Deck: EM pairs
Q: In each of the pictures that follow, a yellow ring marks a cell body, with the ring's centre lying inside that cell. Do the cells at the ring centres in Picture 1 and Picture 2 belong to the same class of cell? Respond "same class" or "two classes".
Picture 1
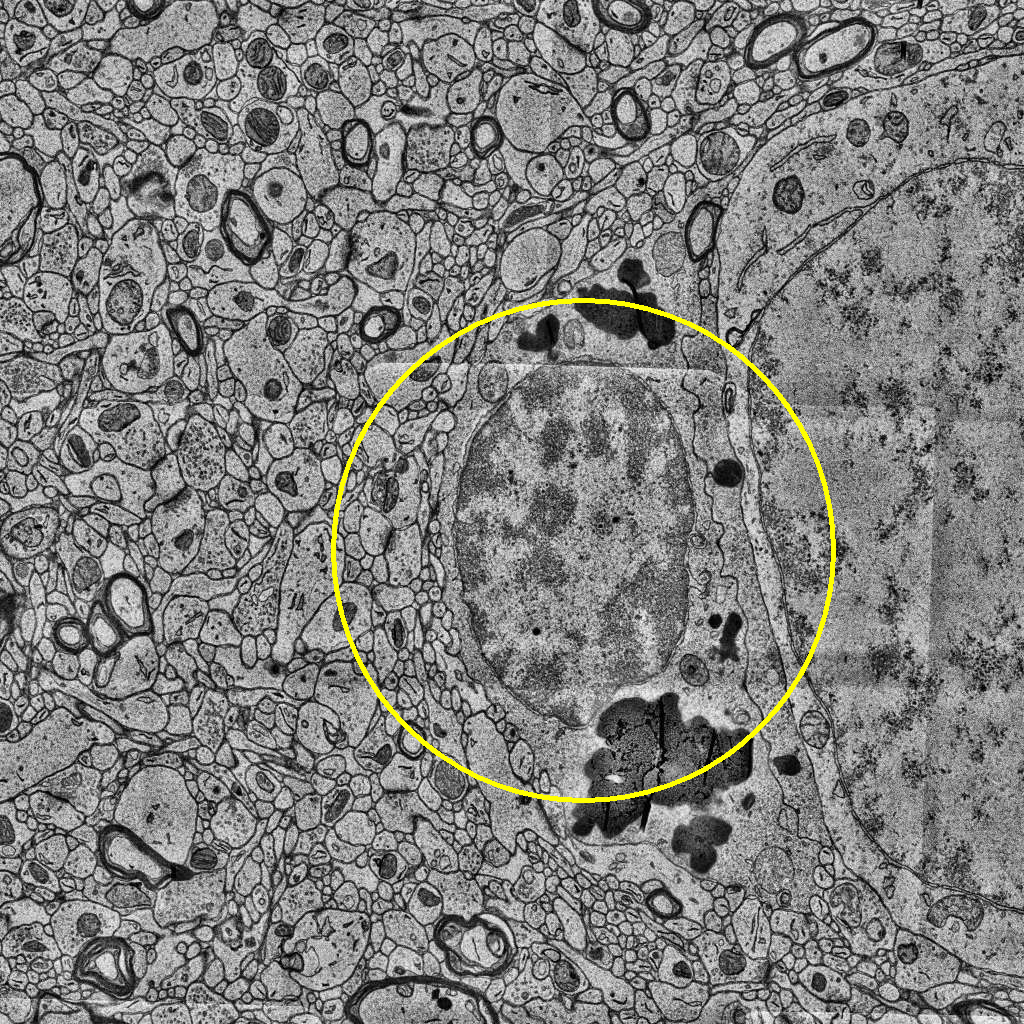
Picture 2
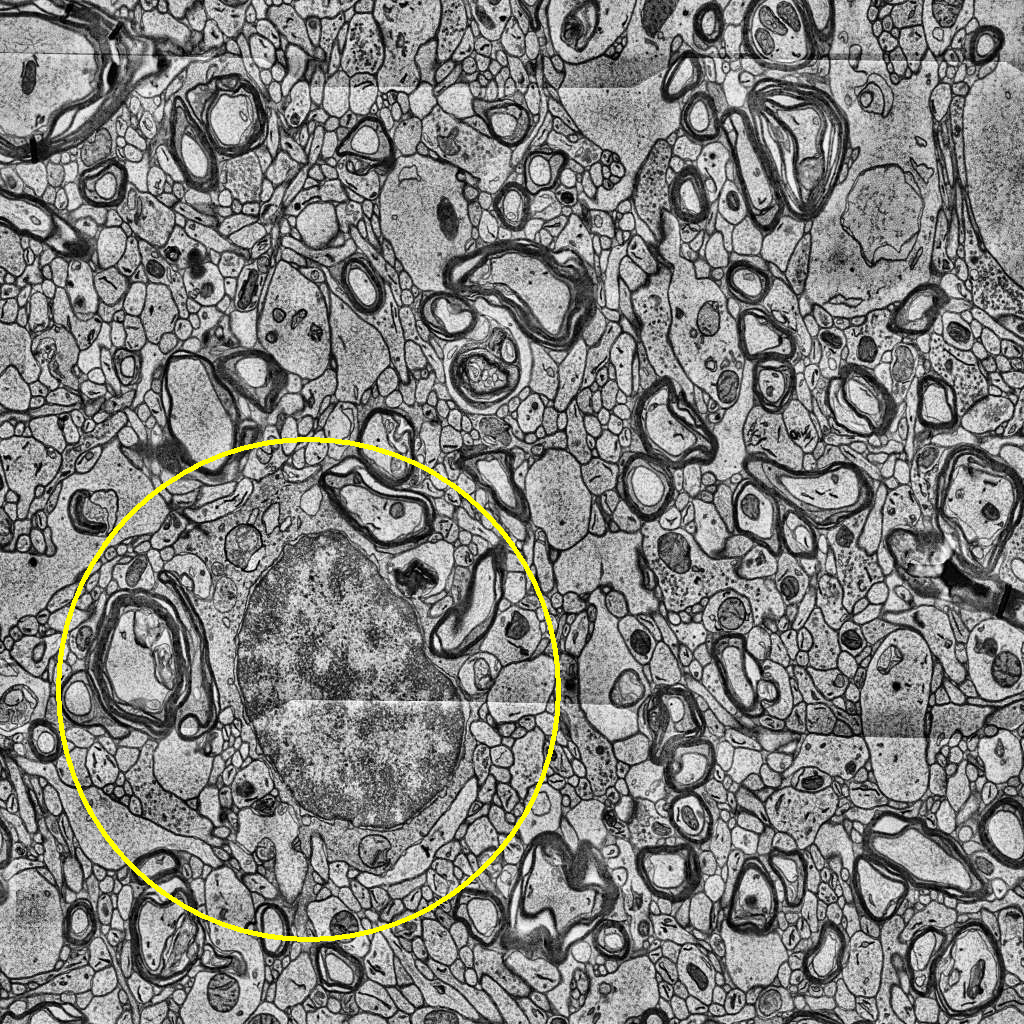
same class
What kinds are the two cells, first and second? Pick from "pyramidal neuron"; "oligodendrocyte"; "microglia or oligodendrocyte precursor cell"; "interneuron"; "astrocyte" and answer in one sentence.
Each of the two pictures has an oligodendrocyte at the ring centre.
